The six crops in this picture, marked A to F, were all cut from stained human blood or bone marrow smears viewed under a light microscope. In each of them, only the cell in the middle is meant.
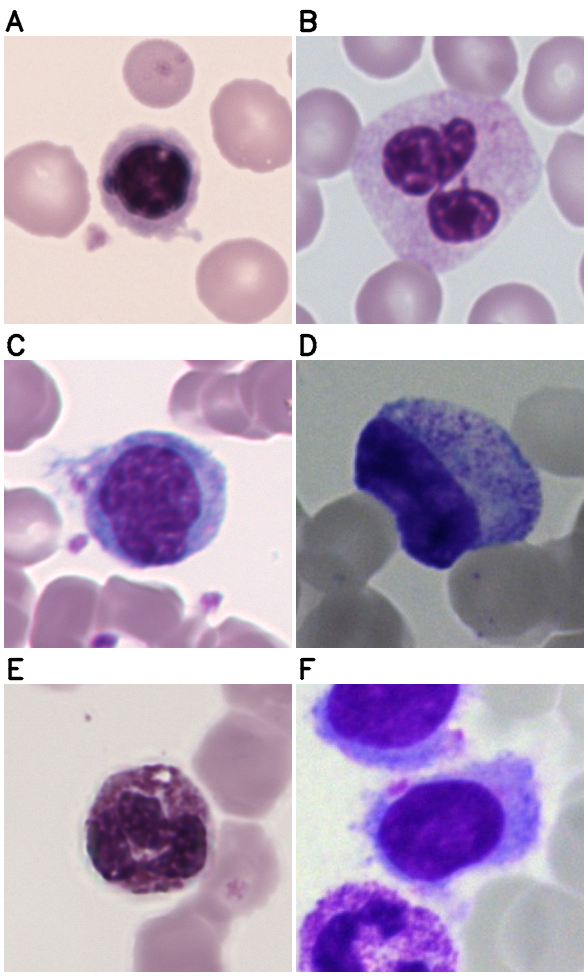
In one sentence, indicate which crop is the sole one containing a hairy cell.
Crop F is the one depicting a hairy cell.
